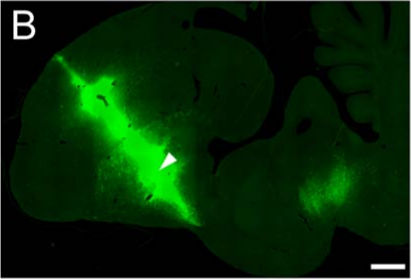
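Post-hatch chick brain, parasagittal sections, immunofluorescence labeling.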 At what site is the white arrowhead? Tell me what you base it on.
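The green signal spreads outward along a track from the point the arrowhead marks.
Hence: injection sites.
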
